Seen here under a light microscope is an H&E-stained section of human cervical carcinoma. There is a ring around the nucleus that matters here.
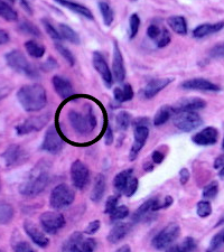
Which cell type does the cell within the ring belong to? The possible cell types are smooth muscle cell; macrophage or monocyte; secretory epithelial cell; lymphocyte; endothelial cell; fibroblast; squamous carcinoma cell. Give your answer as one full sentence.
In the stained section, the cell within the ring is a secretory epithelial cell.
